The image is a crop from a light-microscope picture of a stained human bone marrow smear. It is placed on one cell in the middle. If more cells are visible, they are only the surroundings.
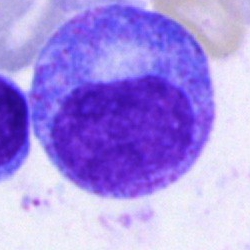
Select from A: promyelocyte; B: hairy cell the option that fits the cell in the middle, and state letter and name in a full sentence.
The correct choice is option A, which identifies the middle cell as a promyelocyte.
